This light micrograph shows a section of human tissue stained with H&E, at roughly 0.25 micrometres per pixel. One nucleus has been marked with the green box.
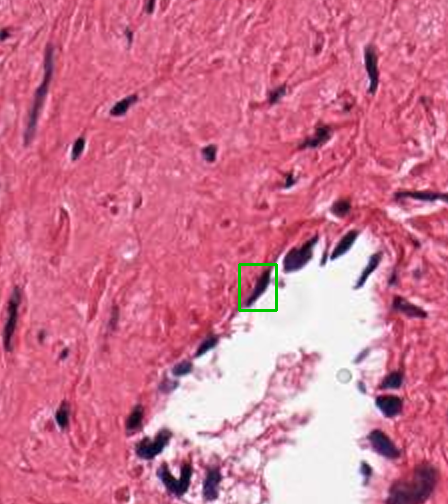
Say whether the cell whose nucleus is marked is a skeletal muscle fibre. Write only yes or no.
no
